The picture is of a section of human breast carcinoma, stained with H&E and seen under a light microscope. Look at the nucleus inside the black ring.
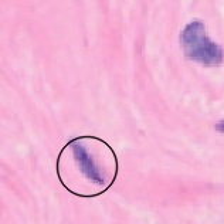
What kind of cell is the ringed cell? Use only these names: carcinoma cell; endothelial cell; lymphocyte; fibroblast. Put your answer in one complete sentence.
In this preparation, the ringed cell is a fibroblast.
